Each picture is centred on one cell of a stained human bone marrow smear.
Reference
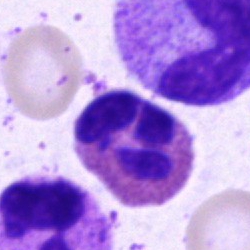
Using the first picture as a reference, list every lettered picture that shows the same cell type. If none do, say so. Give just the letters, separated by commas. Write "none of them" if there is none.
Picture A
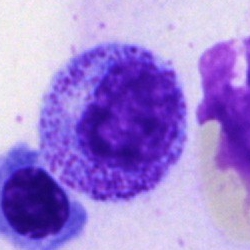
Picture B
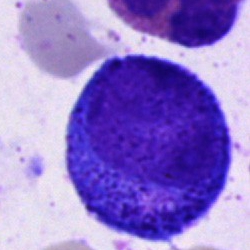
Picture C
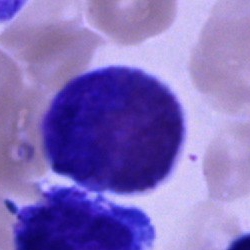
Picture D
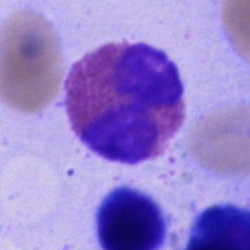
C, D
